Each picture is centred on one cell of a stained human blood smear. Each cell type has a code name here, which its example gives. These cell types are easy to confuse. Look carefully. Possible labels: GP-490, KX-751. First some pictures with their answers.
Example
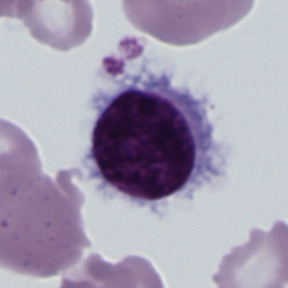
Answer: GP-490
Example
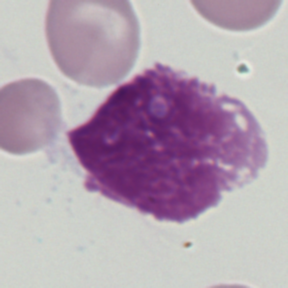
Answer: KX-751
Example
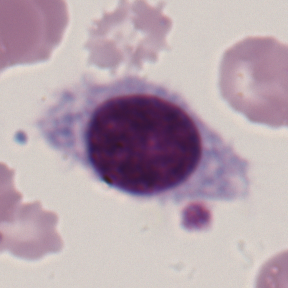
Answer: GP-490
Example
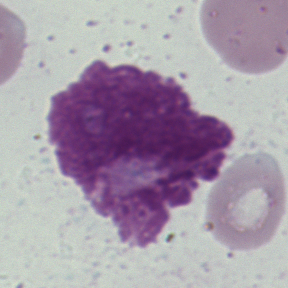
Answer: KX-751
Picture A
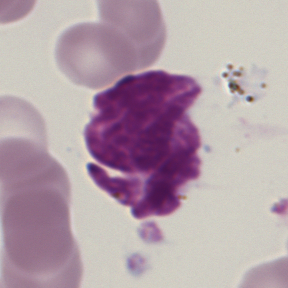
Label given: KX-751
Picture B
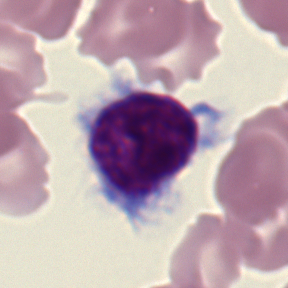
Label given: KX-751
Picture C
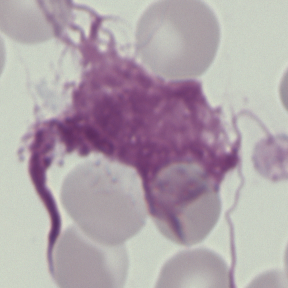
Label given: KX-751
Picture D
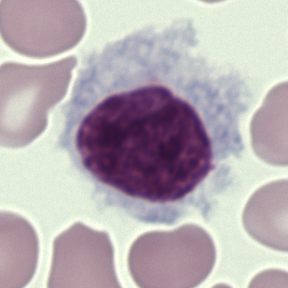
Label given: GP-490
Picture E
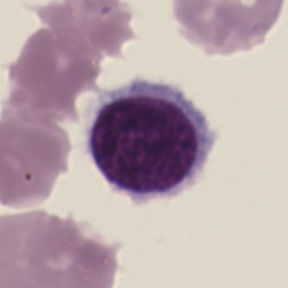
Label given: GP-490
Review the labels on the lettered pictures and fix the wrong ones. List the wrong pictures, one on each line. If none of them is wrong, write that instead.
B should be GP-490, not KX-751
